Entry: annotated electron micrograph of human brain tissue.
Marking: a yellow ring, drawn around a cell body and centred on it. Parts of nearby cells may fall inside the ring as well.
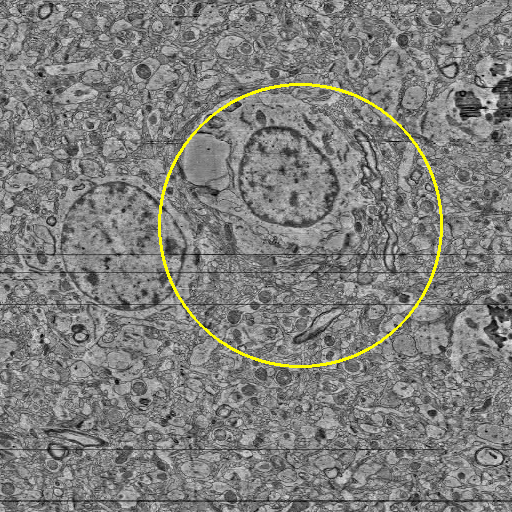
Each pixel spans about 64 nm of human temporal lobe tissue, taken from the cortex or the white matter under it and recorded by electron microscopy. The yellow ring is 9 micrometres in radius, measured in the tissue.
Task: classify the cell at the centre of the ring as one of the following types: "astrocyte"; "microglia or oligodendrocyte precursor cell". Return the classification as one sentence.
The marked cell is classified as an astrocyte.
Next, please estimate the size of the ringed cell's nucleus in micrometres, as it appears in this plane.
Approximately 7 x 6 micrometres in this plane.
